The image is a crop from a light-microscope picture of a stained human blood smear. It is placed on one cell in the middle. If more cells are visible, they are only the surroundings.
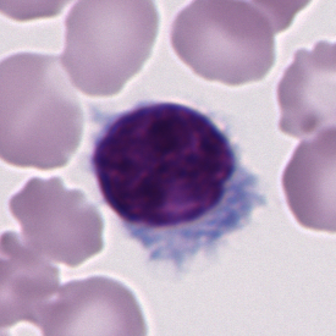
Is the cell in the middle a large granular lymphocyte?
no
